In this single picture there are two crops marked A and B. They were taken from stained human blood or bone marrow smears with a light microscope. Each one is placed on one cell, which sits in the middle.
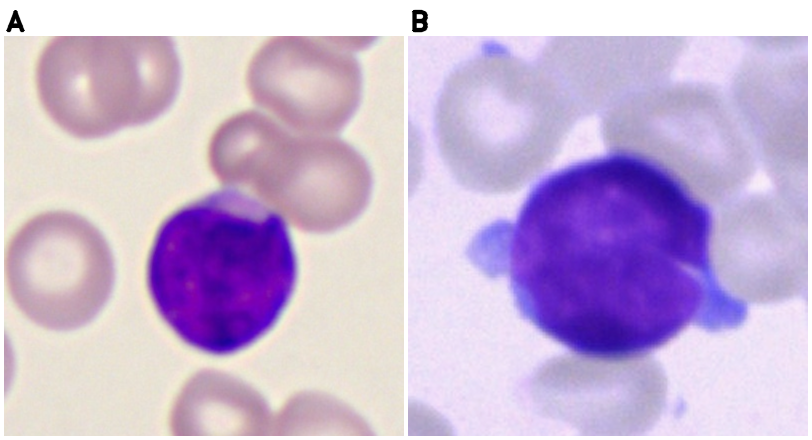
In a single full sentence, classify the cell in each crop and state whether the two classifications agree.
Yes, both crops show a cell each, and these are blasts.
